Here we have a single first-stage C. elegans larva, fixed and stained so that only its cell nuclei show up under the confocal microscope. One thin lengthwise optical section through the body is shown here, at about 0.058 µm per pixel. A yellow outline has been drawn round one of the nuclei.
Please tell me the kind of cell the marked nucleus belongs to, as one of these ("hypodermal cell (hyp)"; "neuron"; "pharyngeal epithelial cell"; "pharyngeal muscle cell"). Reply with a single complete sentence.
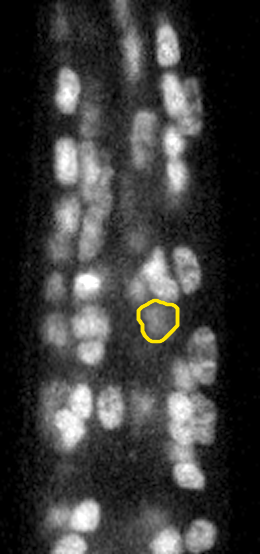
The cell with the marked nucleus is a pharyngeal muscle cell.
